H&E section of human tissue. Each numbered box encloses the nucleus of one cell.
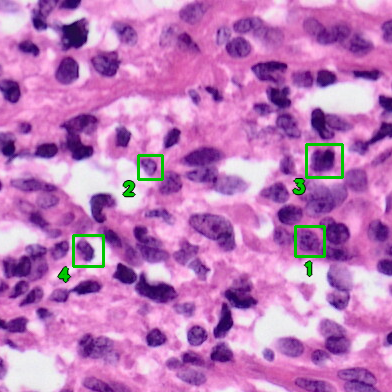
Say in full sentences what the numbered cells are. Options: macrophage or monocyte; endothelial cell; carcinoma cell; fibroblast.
Cells 1, 3 and 4 are carcinoma cells. Cell 2 is a macrophage or monocyte.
